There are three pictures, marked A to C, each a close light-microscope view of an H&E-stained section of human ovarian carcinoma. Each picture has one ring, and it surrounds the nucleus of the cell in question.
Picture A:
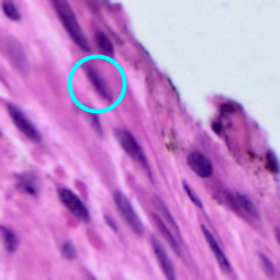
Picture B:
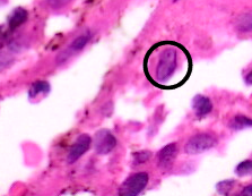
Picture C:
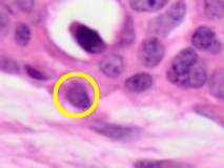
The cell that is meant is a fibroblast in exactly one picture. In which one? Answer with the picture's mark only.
A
